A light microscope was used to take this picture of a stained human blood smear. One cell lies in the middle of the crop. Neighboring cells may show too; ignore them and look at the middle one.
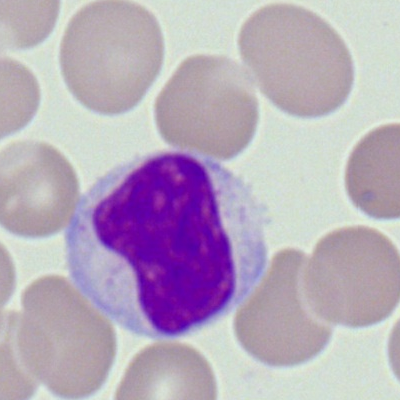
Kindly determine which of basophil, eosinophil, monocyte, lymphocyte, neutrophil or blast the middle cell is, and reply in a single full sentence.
Occupying the centre of the crop is a lymphocyte.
